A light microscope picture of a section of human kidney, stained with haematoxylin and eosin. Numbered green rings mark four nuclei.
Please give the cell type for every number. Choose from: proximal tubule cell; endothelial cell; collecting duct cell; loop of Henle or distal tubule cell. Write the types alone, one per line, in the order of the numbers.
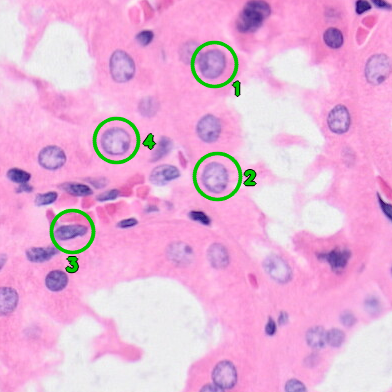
proximal tubule cell
proximal tubule cell
endothelial cell
proximal tubule cell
